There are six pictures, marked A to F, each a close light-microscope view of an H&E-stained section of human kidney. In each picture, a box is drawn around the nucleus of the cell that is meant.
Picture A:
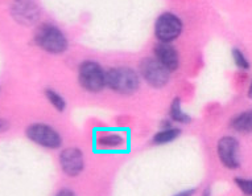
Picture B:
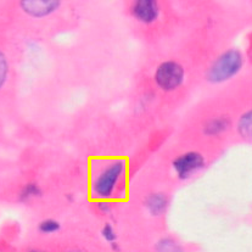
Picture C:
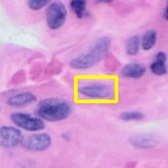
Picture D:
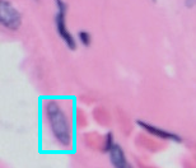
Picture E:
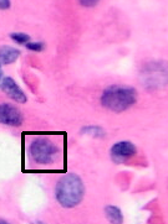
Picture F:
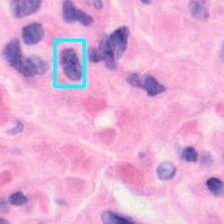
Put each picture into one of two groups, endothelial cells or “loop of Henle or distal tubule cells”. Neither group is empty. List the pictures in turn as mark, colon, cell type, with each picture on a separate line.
A: endothelial cell
B: endothelial cell
C: endothelial cell
D: loop of Henle or distal tubule cell
E: loop of Henle or distal tubule cell
F: endothelial cell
